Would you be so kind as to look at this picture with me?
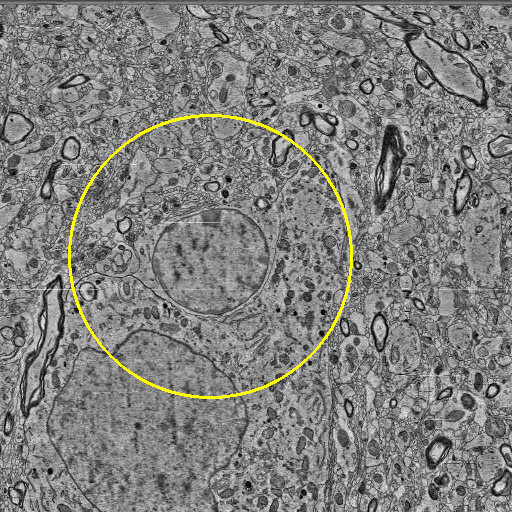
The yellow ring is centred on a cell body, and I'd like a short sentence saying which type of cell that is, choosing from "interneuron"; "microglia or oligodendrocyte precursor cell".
The cell body in the ring belongs to a microglial cell or oligodendrocyte precursor cell.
